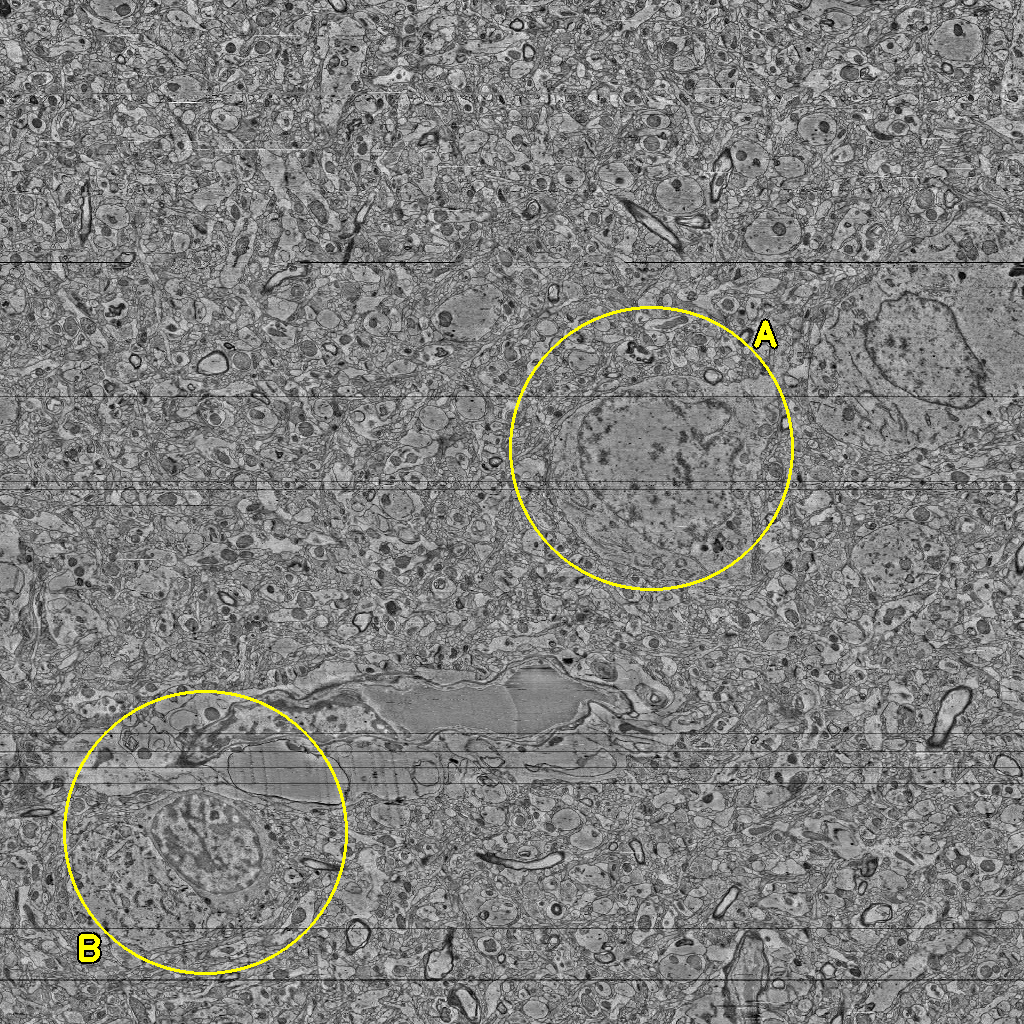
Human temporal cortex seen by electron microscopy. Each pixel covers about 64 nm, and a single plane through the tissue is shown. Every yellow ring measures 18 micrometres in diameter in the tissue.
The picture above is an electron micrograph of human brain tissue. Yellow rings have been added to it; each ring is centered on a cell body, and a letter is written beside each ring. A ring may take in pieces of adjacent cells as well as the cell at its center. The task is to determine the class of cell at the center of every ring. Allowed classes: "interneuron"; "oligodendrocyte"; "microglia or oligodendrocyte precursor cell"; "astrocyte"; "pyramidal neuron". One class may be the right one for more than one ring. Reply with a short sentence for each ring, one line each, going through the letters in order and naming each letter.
Ring A is centered on an interneuron.
Ring B is centered on an oligodendrocyte.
